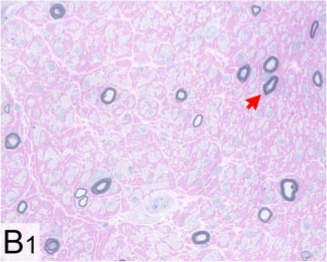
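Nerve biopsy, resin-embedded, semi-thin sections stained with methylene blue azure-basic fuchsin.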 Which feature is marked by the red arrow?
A: large remaining fibres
